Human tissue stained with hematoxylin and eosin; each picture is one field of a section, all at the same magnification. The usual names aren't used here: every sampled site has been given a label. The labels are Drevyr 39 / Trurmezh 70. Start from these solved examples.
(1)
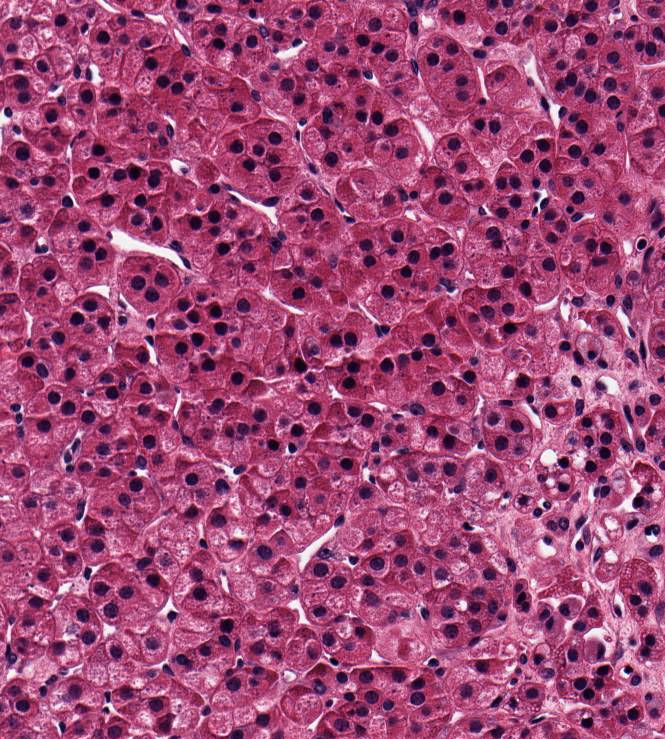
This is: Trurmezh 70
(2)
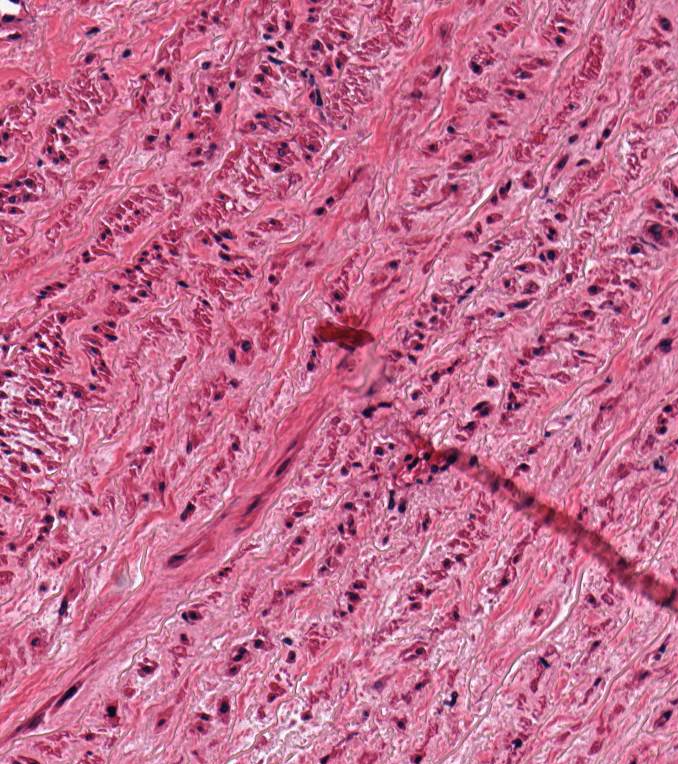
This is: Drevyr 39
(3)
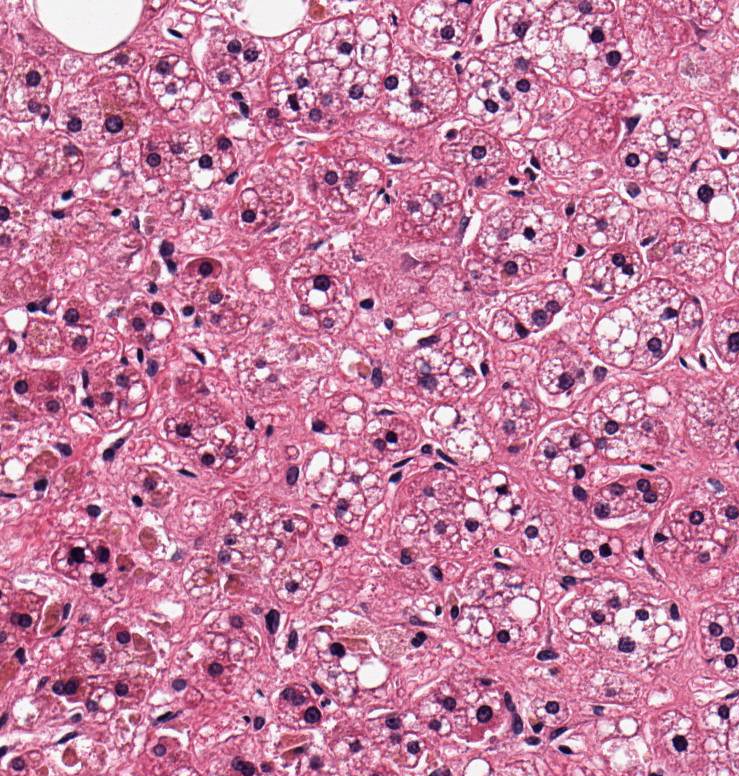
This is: Trurmezh 70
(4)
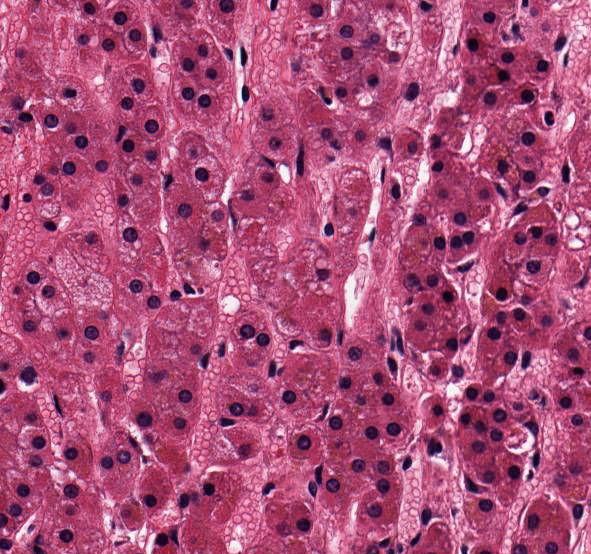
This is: Trurmezh 70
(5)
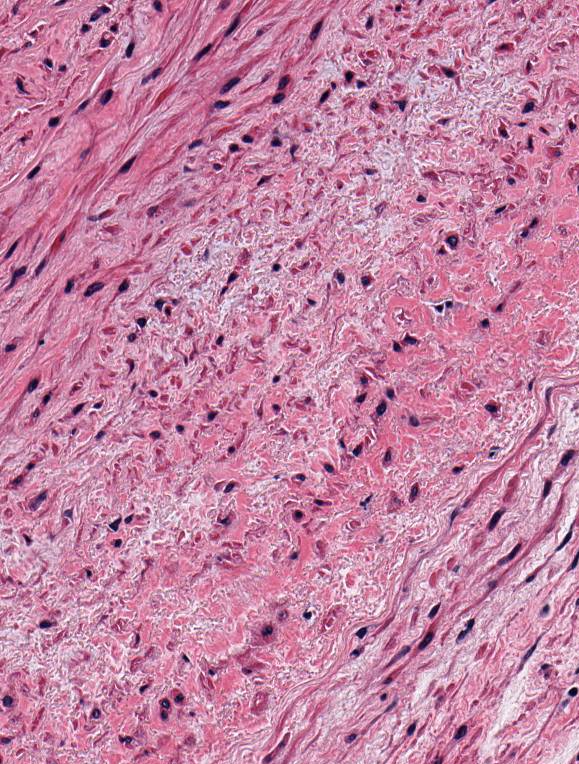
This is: Drevyr 39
